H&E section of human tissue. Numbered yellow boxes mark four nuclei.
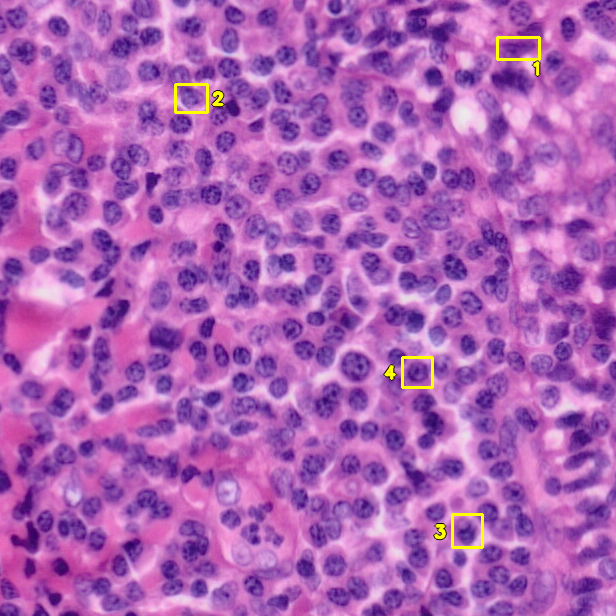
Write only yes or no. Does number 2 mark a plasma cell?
yes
